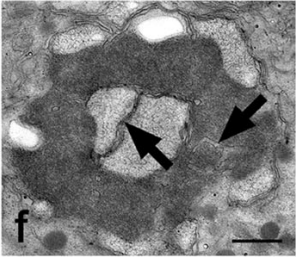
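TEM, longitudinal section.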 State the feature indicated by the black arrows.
thylakoid membranes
